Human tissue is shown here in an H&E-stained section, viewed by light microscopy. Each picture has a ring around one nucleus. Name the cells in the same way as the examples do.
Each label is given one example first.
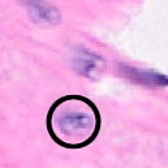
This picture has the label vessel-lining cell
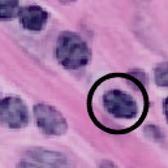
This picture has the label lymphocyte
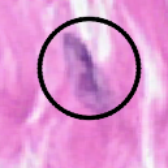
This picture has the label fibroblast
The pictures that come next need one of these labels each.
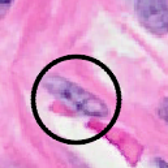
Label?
vessel-lining cell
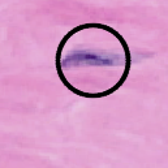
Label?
fibroblast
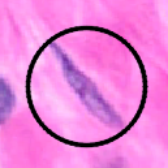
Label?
fibroblast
